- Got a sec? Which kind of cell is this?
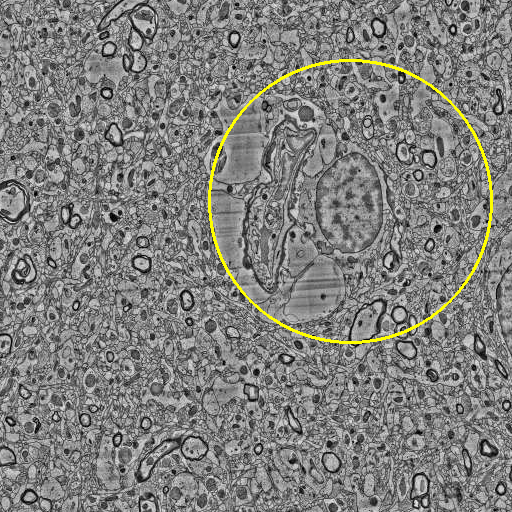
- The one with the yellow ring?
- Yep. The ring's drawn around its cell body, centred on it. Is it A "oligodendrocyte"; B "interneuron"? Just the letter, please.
A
